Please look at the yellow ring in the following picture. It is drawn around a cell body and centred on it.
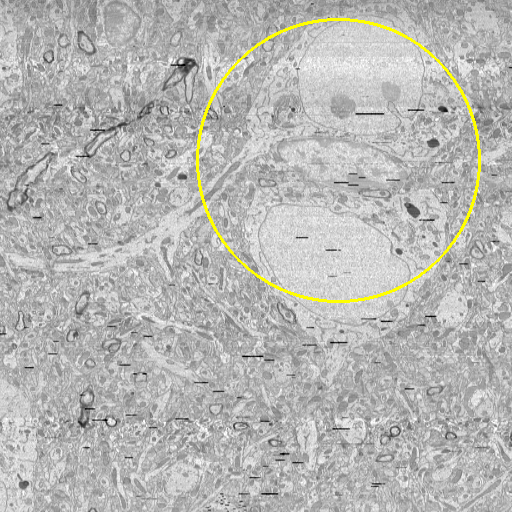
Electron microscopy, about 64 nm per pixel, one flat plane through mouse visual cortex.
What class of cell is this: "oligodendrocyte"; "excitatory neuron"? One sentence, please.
The ring surrounds the cell body of an oligodendrocyte.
